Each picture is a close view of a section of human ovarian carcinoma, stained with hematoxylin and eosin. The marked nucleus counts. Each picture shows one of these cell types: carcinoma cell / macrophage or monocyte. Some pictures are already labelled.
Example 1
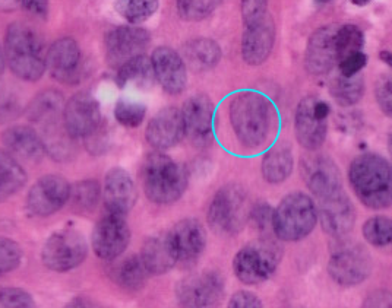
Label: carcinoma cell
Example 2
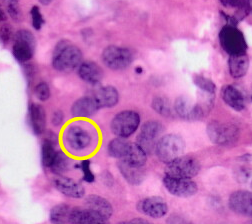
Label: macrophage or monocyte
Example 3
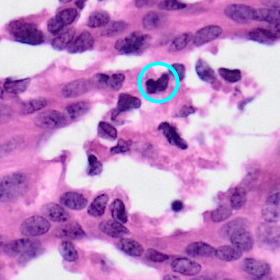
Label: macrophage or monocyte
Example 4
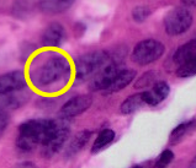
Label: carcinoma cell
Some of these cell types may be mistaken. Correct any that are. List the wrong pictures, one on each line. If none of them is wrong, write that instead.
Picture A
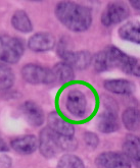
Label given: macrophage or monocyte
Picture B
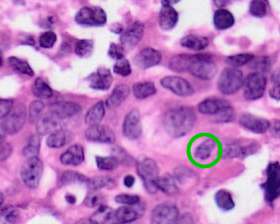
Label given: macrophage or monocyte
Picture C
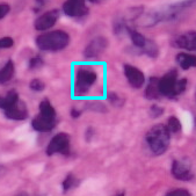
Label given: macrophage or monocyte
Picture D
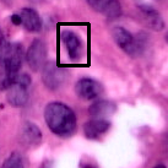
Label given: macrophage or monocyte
All correct.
